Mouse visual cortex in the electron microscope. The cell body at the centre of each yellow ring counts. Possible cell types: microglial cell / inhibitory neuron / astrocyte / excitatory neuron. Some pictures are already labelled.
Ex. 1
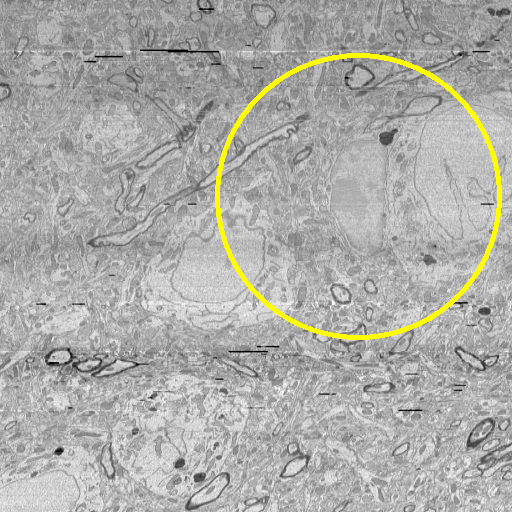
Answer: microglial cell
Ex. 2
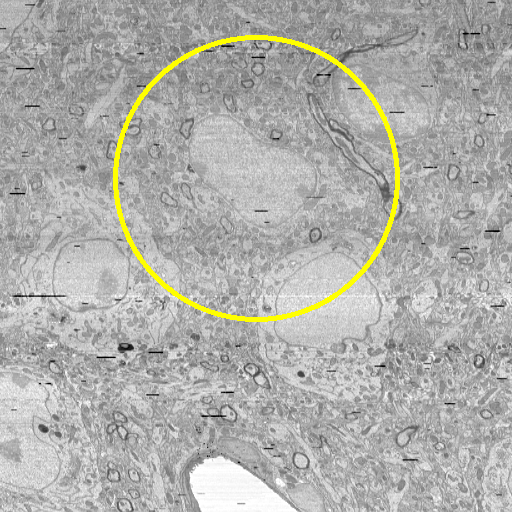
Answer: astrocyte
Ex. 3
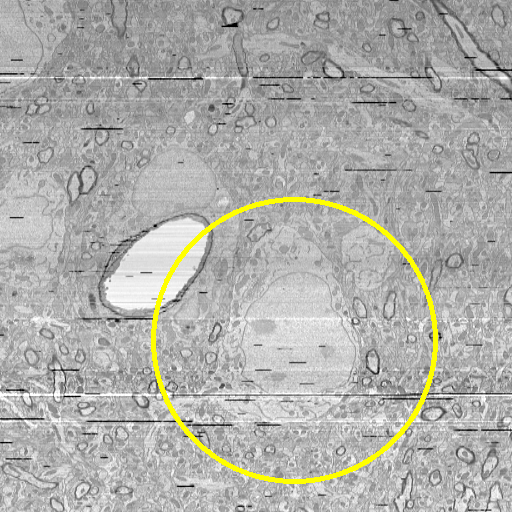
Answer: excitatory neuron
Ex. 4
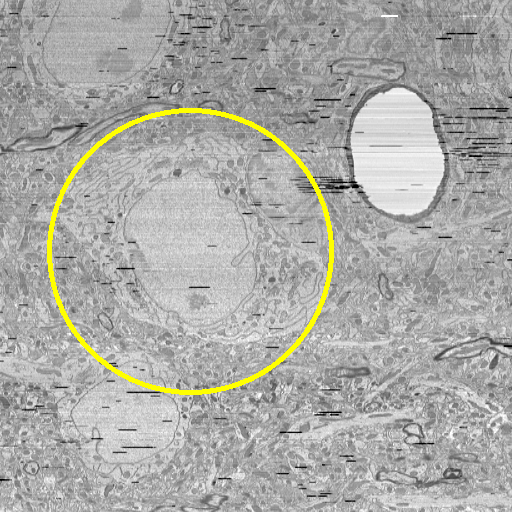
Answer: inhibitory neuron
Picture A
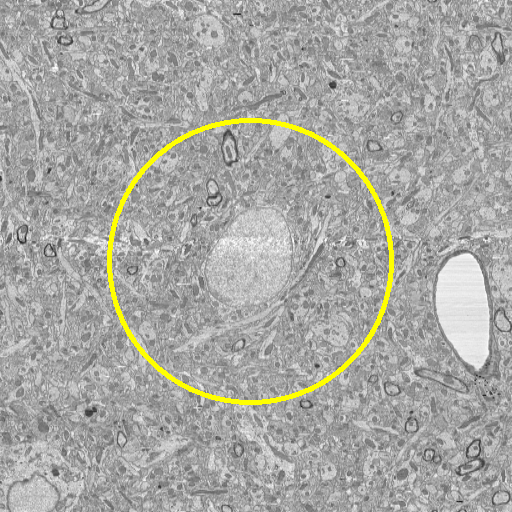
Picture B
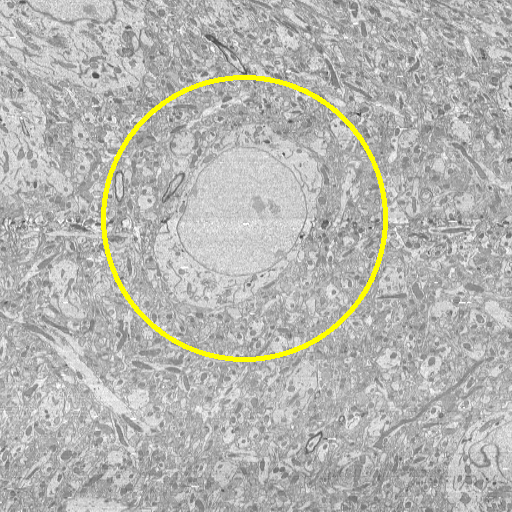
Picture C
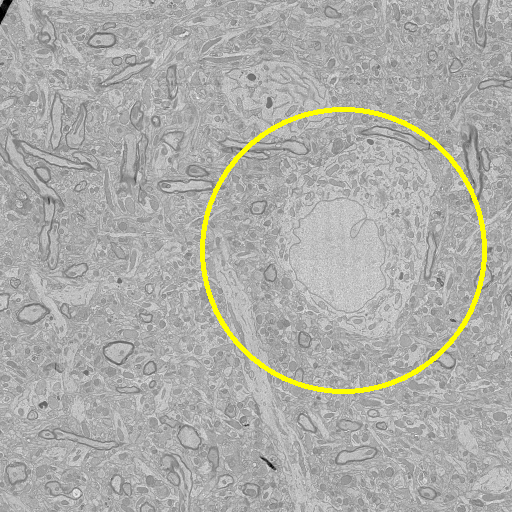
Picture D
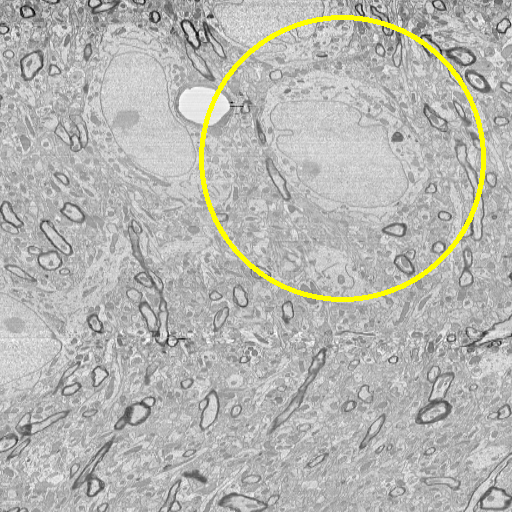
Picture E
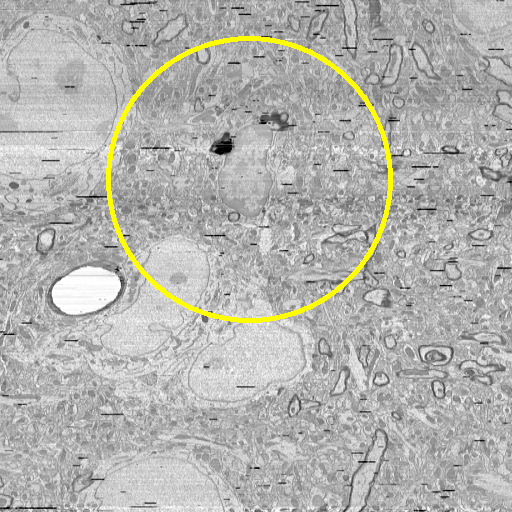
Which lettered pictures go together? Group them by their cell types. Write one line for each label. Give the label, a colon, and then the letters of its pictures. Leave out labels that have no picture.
microglial cell: E
inhibitory neuron: C
astrocyte: A
excitatory neuron: B, D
